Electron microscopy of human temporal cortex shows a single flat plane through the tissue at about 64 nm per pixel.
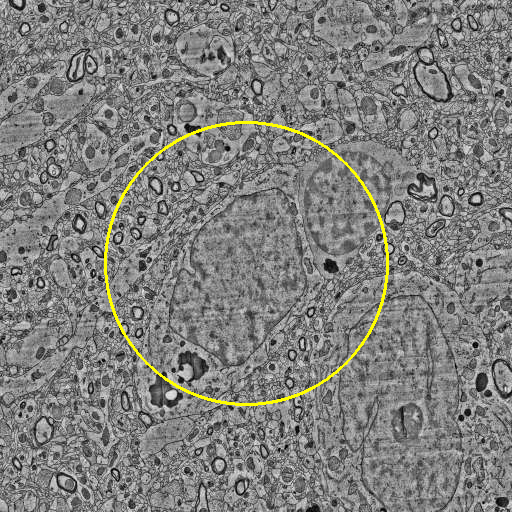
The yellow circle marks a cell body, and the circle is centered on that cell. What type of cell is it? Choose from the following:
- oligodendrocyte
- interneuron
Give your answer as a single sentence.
This cell body belongs to an interneuron.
